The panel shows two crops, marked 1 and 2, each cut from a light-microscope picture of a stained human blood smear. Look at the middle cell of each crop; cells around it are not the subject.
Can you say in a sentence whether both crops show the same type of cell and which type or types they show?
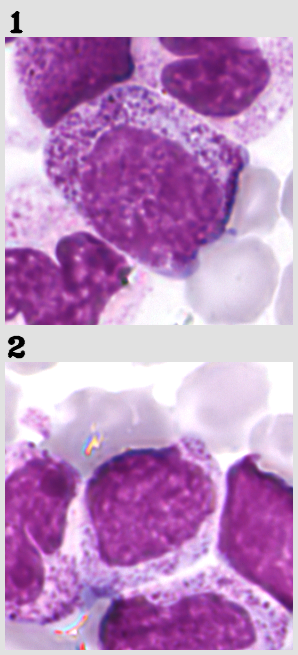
Yes, the central cells in both of the crops are myelocytes.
